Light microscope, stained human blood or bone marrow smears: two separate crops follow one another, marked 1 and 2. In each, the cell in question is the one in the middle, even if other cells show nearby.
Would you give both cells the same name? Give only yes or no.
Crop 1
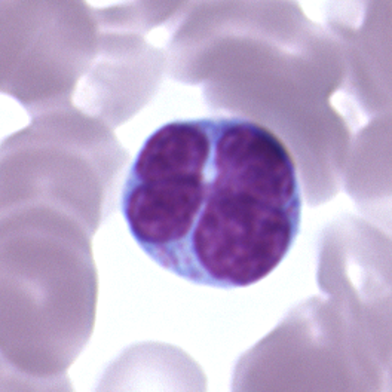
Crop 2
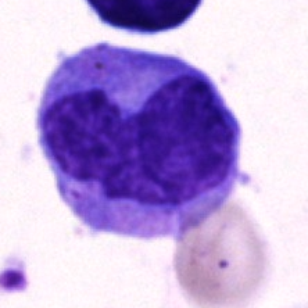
no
